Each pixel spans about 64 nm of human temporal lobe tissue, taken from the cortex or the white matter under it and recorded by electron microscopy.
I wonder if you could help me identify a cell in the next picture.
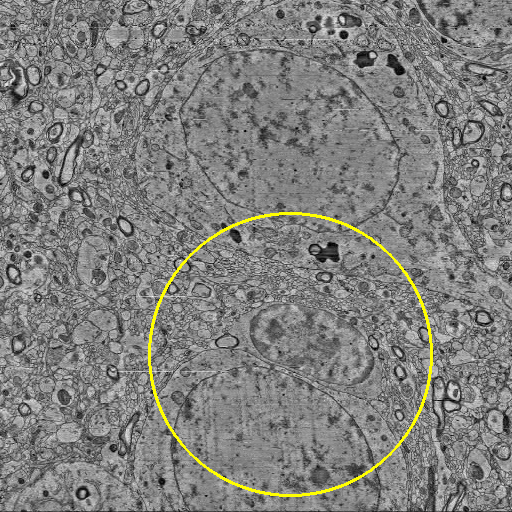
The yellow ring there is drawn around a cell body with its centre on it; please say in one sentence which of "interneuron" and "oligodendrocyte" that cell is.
The yellow ring is centred on an oligodendrocyte.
